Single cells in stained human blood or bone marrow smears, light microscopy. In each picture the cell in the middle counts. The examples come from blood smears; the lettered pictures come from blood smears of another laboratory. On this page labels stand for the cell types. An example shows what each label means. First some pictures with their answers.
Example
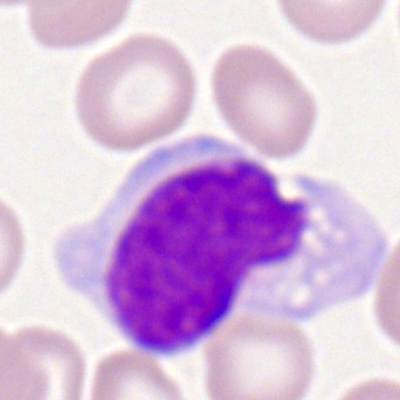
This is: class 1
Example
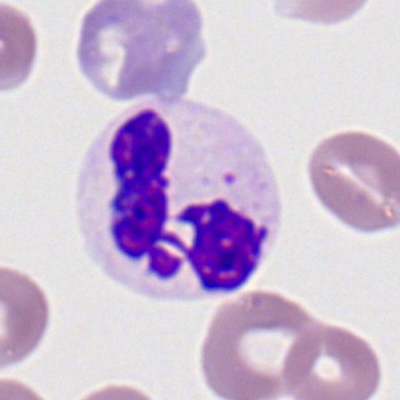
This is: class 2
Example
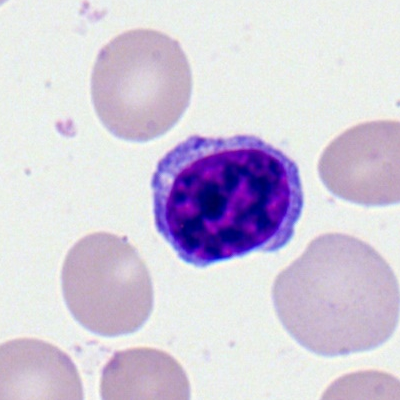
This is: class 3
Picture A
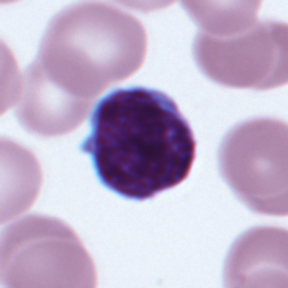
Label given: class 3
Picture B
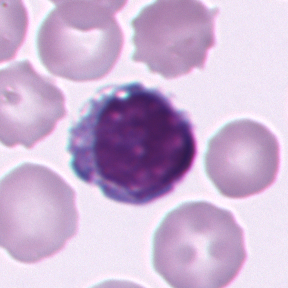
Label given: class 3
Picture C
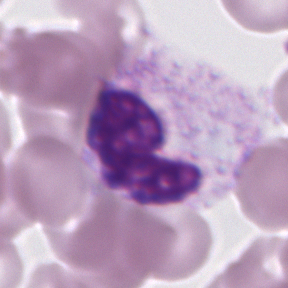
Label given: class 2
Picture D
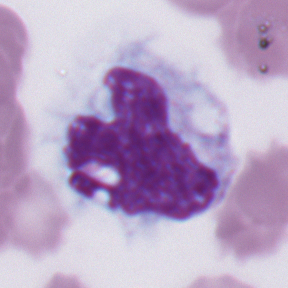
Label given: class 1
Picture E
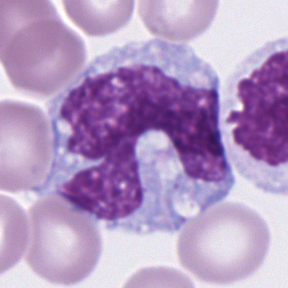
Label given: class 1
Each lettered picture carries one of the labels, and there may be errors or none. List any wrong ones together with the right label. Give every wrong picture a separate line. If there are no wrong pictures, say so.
All correct.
